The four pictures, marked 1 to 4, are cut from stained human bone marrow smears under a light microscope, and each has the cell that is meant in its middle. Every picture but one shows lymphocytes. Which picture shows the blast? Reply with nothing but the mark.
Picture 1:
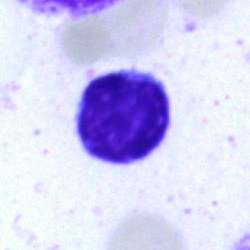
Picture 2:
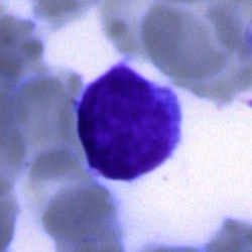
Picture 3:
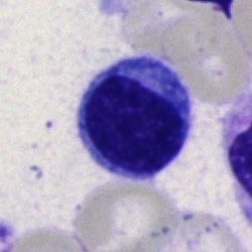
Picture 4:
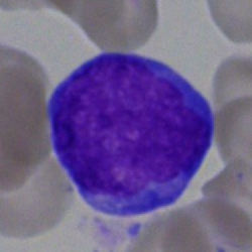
4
